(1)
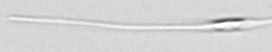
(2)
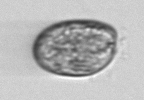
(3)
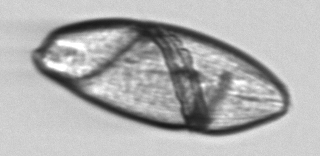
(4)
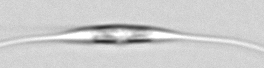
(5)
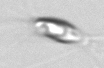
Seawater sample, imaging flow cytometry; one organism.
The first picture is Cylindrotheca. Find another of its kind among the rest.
Picture 4.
